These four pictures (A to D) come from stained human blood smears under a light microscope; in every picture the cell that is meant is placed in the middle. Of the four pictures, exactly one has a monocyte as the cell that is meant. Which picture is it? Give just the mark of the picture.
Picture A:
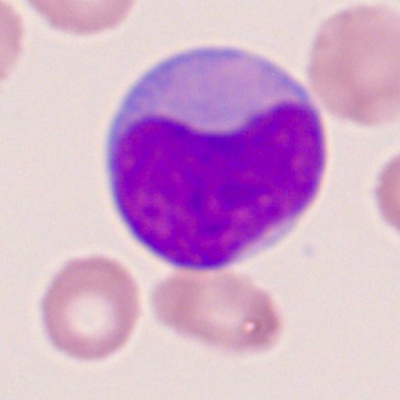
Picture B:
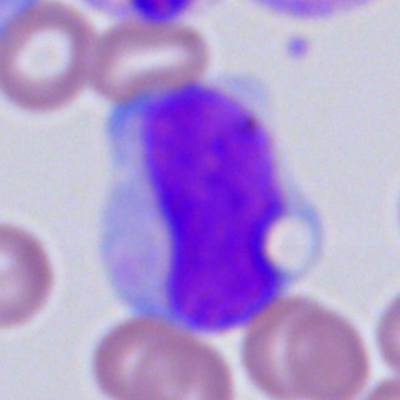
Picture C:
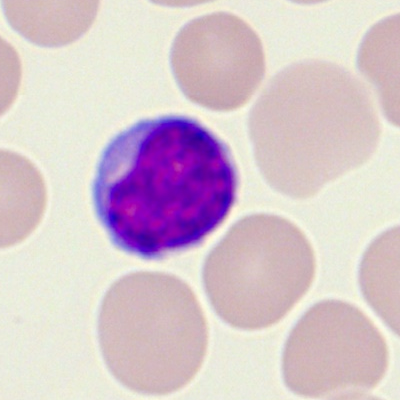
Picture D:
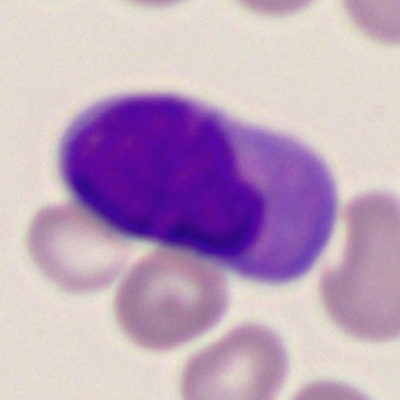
B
